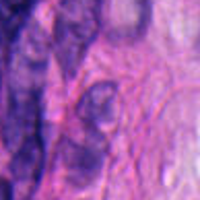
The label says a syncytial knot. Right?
Wrong: this is a vascular myocyte.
